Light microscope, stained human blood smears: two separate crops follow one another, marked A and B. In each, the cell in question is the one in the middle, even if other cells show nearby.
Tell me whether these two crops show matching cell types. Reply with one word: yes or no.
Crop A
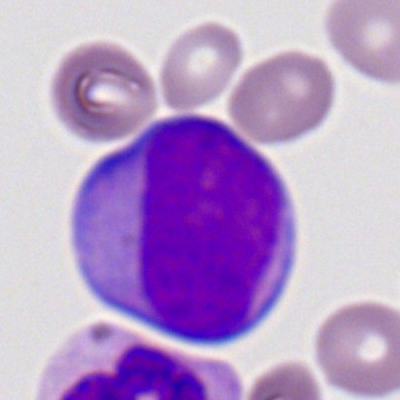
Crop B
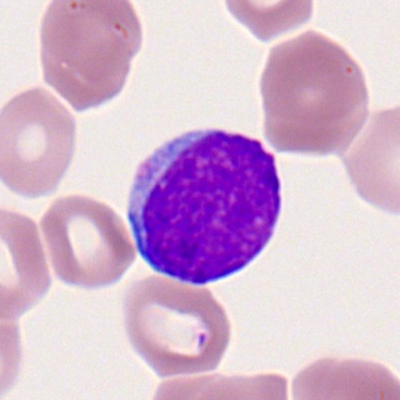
no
